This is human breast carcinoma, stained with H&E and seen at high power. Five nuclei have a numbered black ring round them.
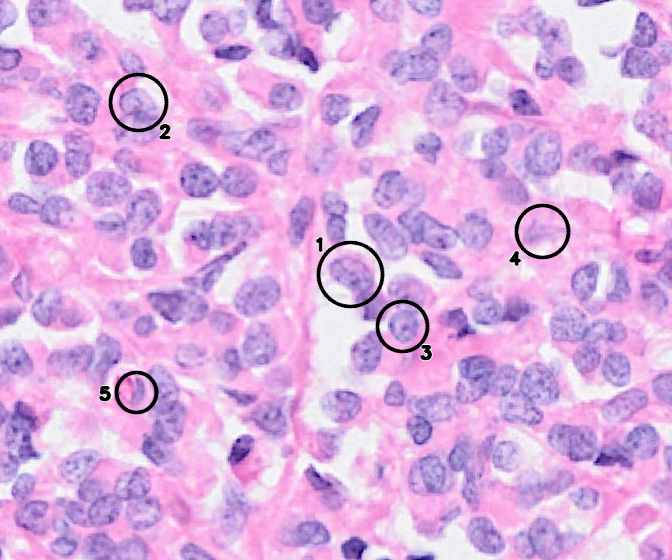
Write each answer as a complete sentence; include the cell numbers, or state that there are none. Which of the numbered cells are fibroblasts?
Only the cell numbered 4 is a fibroblast, and the others are something else.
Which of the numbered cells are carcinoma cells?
Within this tissue, the cells numbered 1, 2 and 3 are carcinoma cells.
